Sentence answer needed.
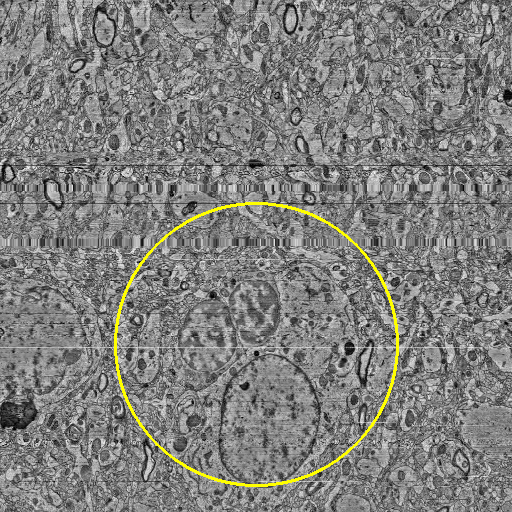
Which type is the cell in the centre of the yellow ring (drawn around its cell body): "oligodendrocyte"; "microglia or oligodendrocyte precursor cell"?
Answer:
In the centre of the yellow ring is an oligodendrocyte.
